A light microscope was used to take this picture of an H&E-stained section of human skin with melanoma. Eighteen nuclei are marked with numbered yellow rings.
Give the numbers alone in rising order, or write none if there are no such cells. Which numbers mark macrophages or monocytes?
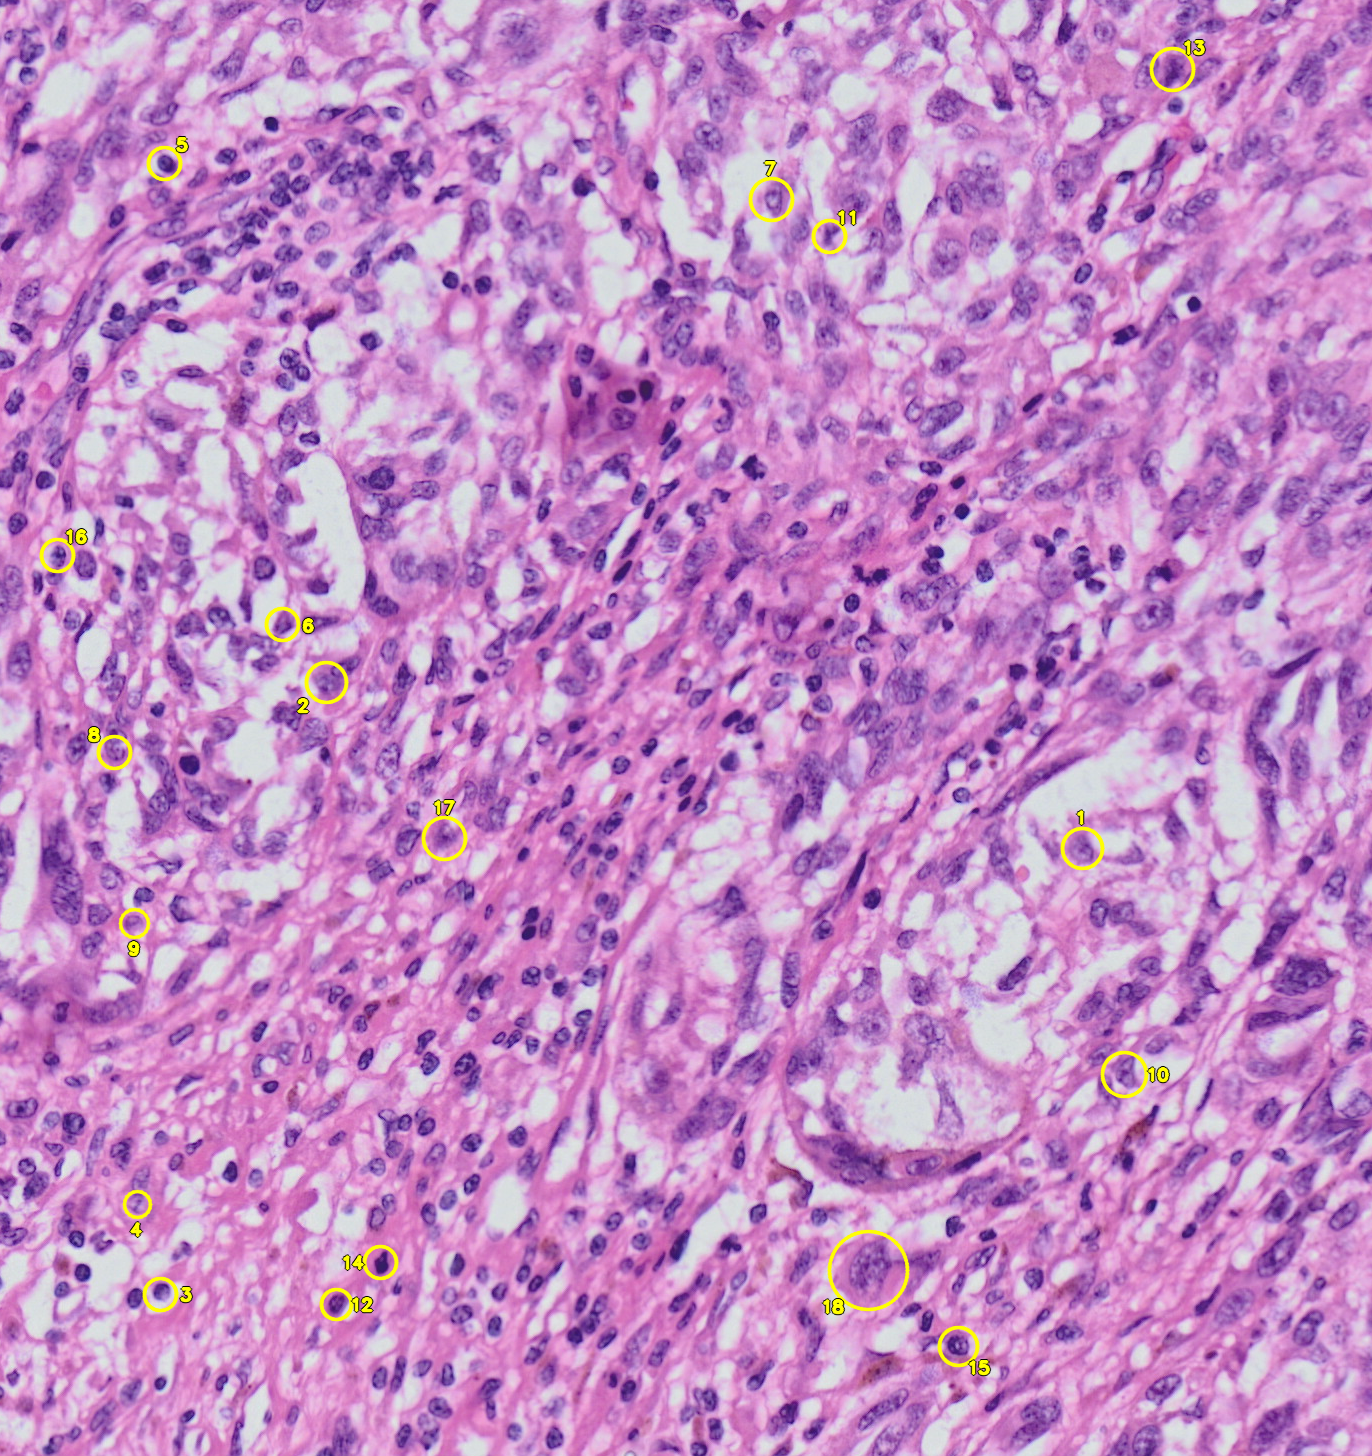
9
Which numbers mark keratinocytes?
none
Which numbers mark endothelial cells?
4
